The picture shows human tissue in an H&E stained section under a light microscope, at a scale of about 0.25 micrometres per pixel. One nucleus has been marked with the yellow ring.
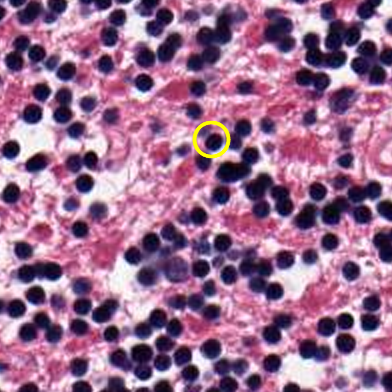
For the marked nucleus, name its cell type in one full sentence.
The marked nucleus, in this picture, belongs to a cerebellar granule cell.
